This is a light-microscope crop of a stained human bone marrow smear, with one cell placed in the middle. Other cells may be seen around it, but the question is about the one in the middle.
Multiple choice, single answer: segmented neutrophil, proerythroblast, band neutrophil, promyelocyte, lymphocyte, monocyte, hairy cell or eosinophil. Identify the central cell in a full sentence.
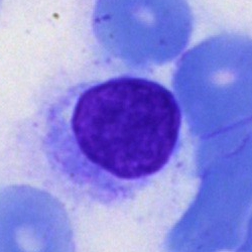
For this crop, the central cell is a hairy cell.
